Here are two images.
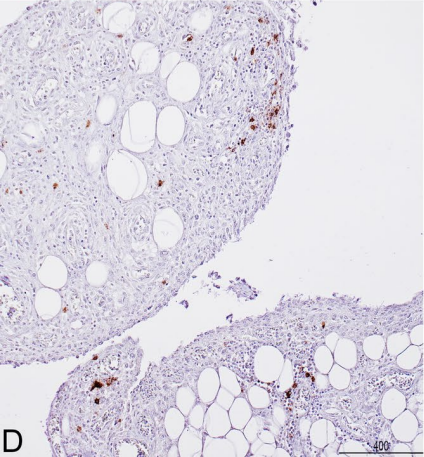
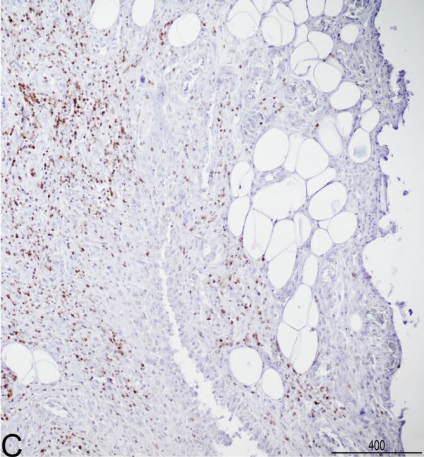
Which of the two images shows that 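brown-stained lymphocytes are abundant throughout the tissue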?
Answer: the second image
